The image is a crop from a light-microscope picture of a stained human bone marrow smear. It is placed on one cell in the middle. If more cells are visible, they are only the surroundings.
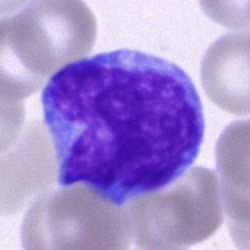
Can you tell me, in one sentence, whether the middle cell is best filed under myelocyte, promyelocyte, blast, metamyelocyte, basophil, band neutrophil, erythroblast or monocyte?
Seen at the centre of the crop is a monocyte.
